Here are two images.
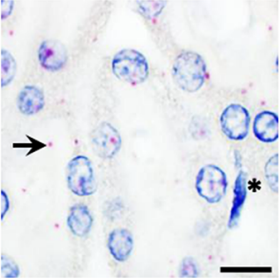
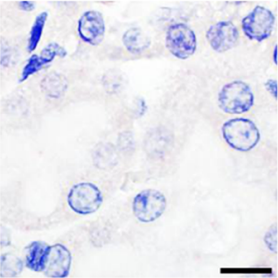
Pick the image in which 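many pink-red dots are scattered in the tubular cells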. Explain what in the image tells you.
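Second image: pink-red dots are sparse or hard to find. First image: numerous pink-red dots lie in the cytoplasm and near nuclei of tubular cells.
The first image.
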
